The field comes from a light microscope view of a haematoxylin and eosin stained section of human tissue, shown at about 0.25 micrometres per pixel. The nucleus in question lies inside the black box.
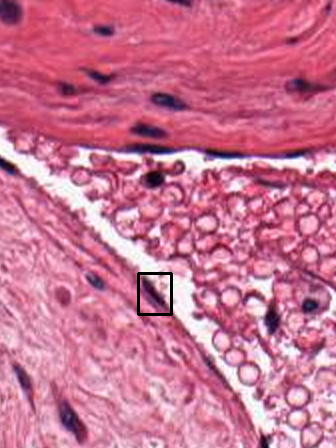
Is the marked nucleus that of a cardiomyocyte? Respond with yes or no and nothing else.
no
